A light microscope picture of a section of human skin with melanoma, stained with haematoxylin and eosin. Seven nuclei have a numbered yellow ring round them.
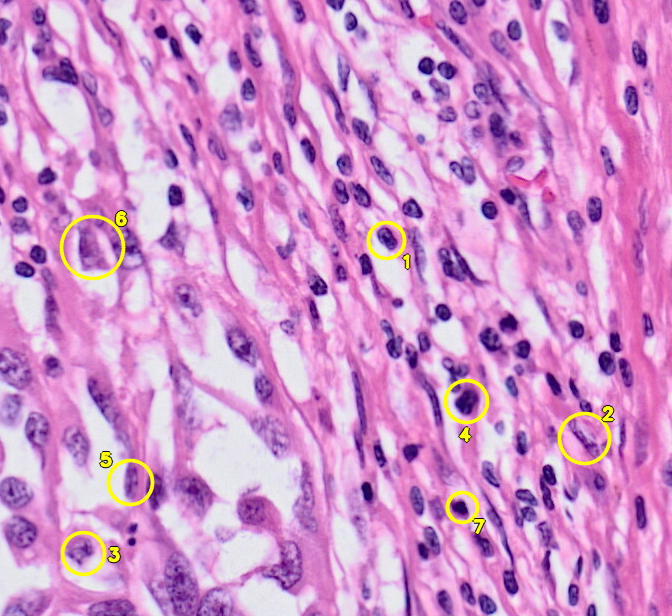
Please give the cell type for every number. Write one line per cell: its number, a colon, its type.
1: lymphocyte
2: fibroblast or myofibroblast
3: melanoma cell
4: plasma cell
5: melanoma cell
6: melanoma cell
7: lymphocyte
